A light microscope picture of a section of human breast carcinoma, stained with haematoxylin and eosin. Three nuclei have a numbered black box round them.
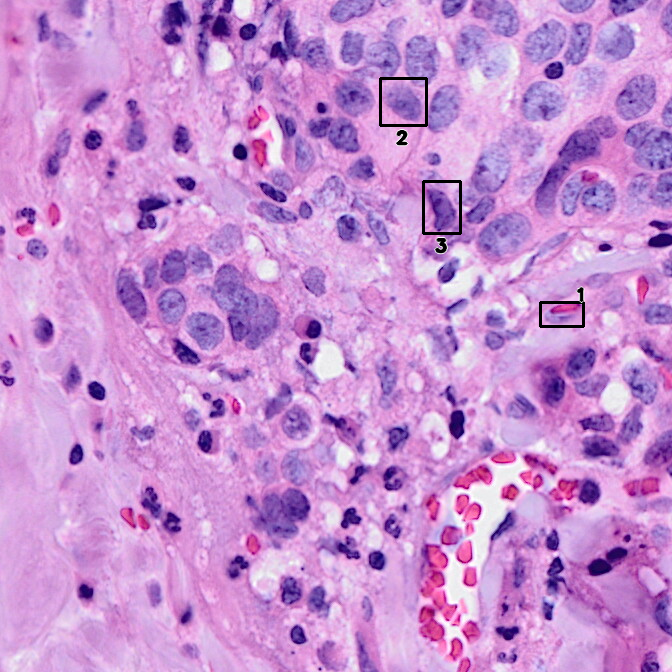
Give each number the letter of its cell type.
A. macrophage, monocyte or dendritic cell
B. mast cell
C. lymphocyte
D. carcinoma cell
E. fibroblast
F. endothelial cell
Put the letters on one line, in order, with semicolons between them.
F; D; D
